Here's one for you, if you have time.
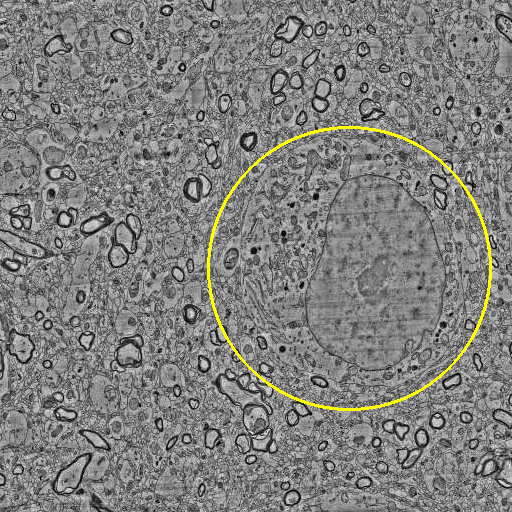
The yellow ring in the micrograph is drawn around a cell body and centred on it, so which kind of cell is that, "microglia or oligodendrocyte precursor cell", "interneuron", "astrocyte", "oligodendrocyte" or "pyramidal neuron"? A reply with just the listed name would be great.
interneuron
